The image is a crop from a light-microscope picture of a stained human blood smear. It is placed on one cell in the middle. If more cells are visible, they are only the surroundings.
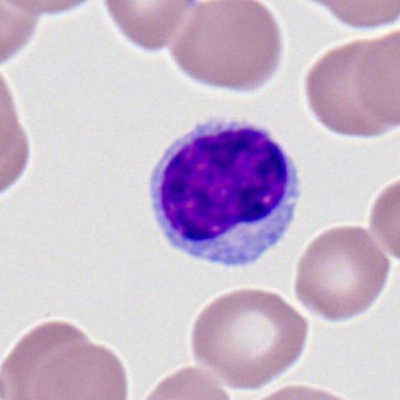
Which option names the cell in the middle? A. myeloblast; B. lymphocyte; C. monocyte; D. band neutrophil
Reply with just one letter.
B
